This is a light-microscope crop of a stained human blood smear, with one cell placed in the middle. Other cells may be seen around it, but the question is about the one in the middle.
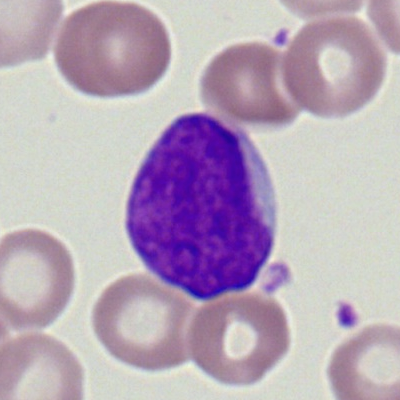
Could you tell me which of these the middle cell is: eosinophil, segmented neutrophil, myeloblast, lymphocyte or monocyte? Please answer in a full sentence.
The cell in the middle of the field of view is a myeloblast.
